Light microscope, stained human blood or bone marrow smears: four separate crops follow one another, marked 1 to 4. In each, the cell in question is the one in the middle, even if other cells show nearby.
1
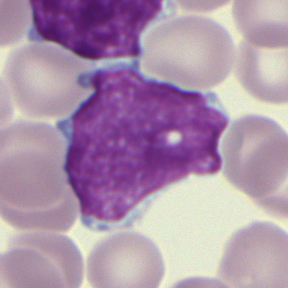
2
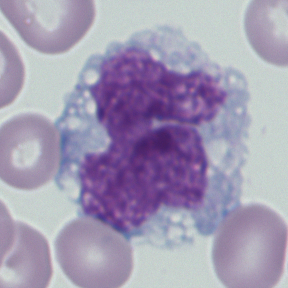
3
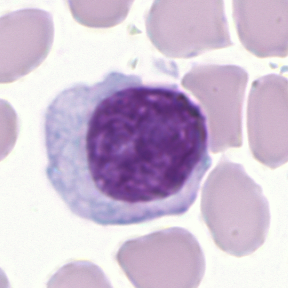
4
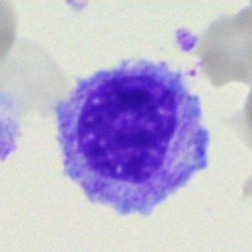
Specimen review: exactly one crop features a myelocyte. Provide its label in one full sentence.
Crop 4 is the one to choose: it shows a myelocyte.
